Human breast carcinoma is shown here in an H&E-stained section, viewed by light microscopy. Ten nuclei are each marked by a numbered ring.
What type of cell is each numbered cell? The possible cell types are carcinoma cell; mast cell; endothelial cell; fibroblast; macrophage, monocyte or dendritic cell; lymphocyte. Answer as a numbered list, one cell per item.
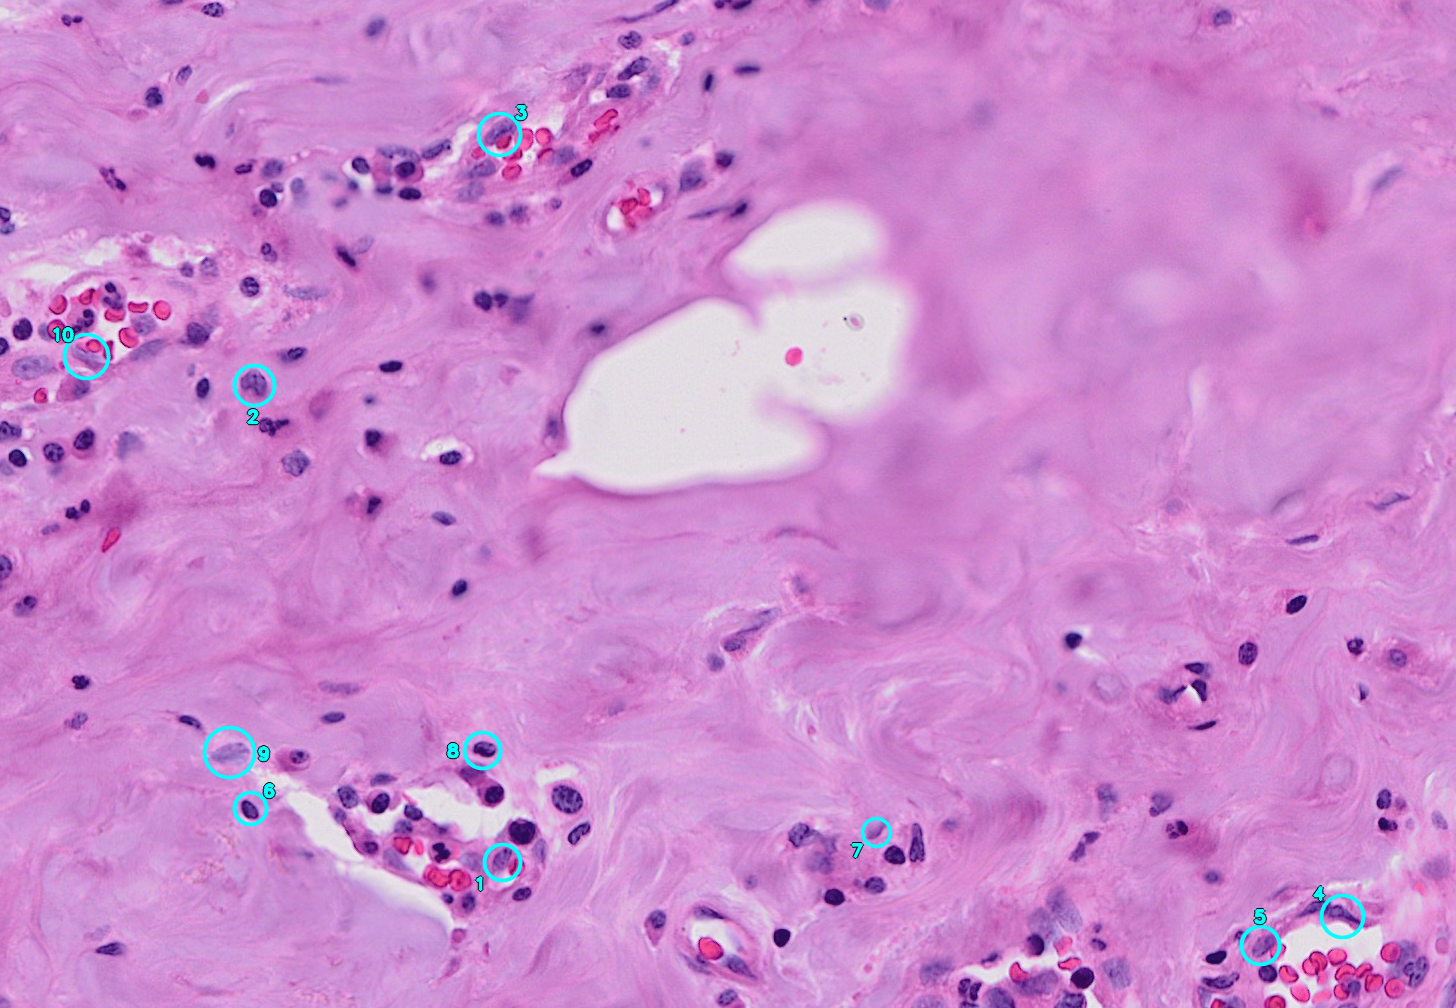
1. endothelial cell
2. macrophage, monocyte or dendritic cell
3. endothelial cell
4. endothelial cell
5. endothelial cell
6. lymphocyte
7. fibroblast
8. lymphocyte
9. fibroblast
10. endothelial cell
